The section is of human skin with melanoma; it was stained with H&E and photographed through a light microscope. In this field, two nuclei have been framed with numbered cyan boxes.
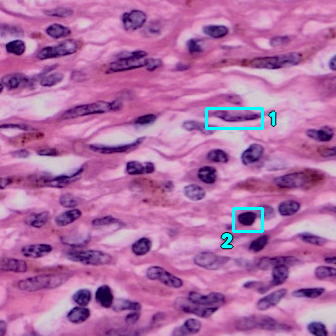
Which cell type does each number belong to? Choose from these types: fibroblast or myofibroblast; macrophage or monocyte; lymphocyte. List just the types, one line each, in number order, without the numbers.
fibroblast or myofibroblast
lymphocyte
